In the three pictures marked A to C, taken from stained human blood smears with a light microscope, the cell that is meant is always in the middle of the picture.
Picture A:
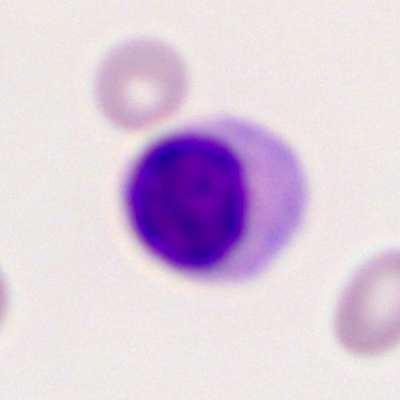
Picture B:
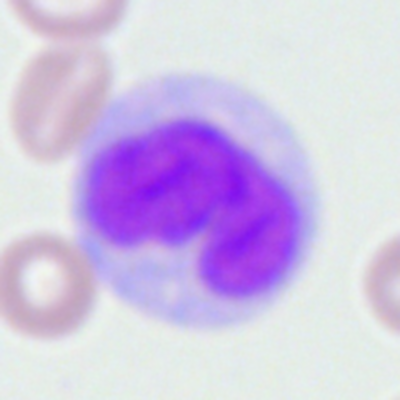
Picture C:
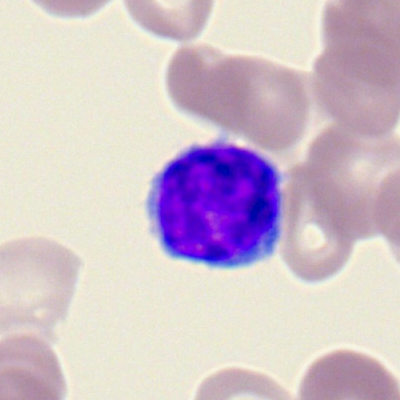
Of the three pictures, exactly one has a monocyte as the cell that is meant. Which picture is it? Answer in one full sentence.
The monocyte is the one in picture B.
